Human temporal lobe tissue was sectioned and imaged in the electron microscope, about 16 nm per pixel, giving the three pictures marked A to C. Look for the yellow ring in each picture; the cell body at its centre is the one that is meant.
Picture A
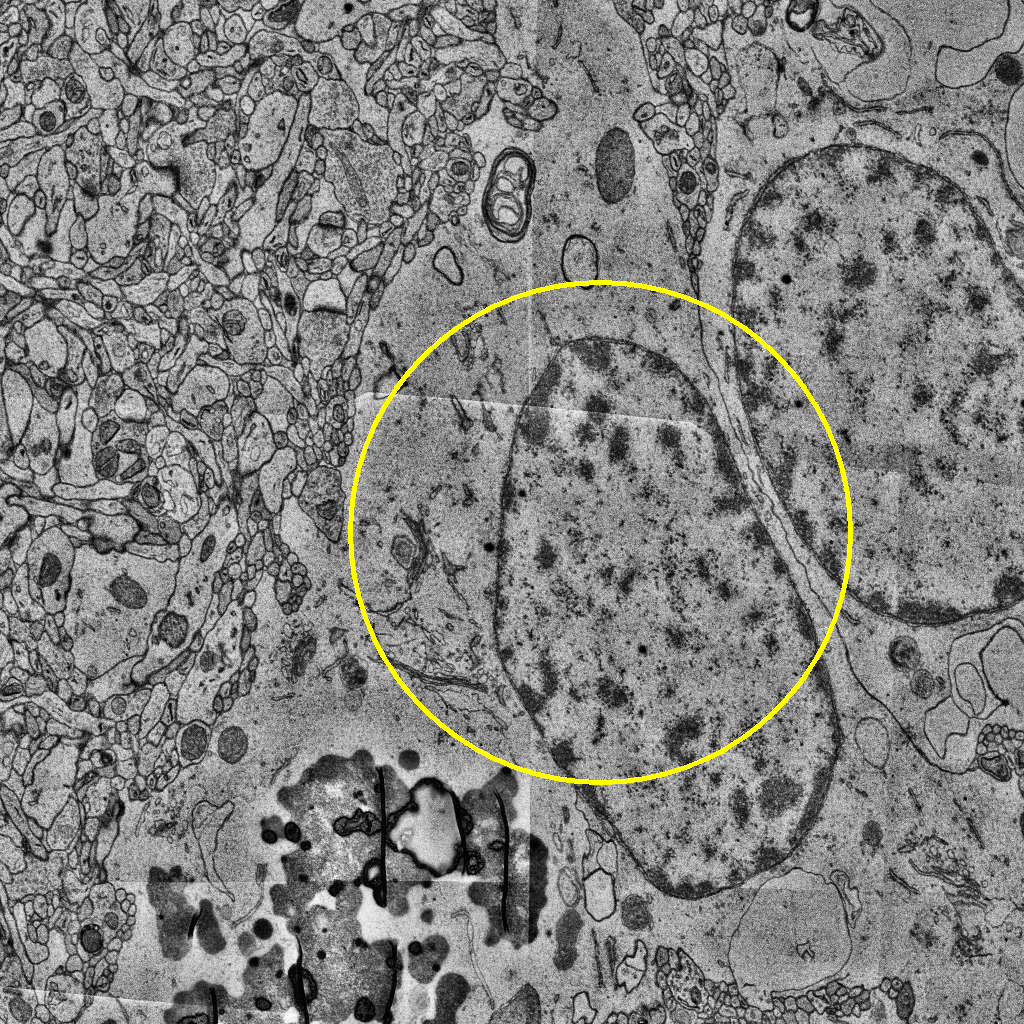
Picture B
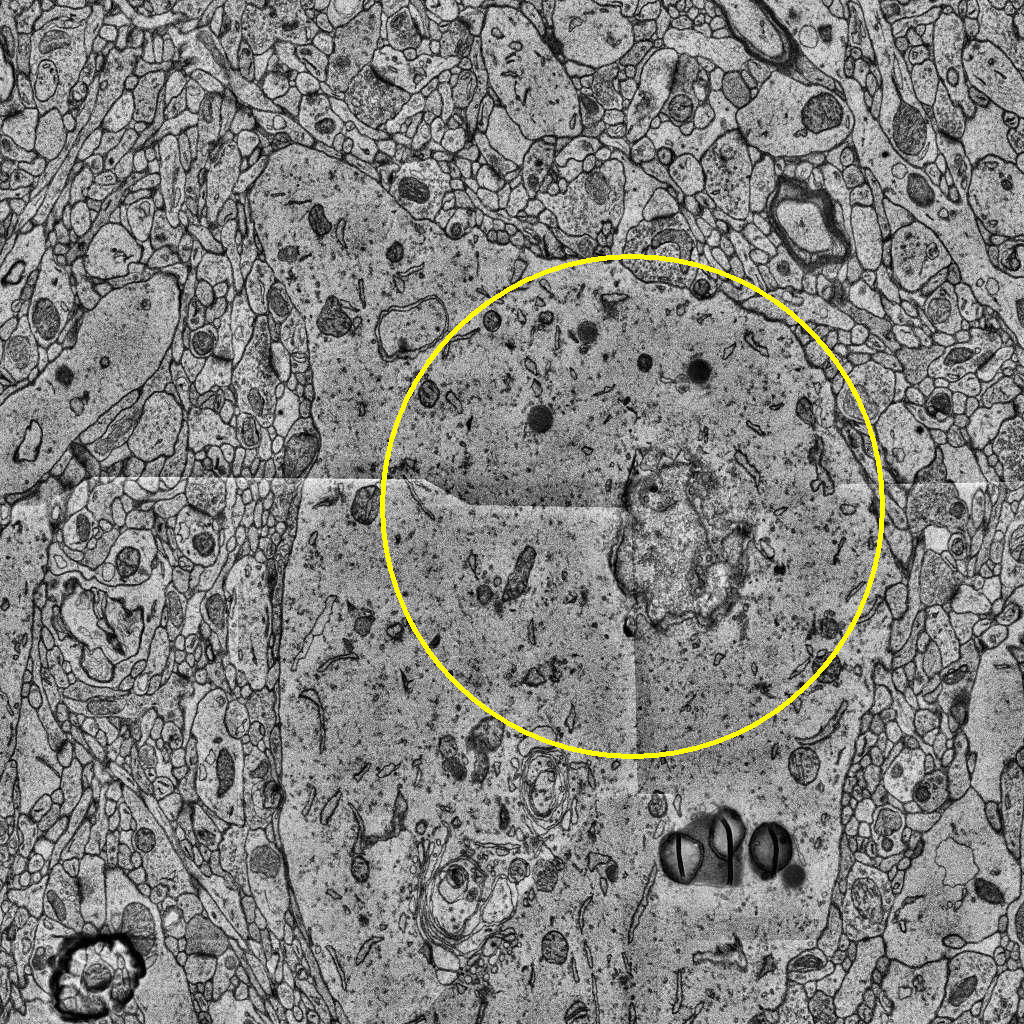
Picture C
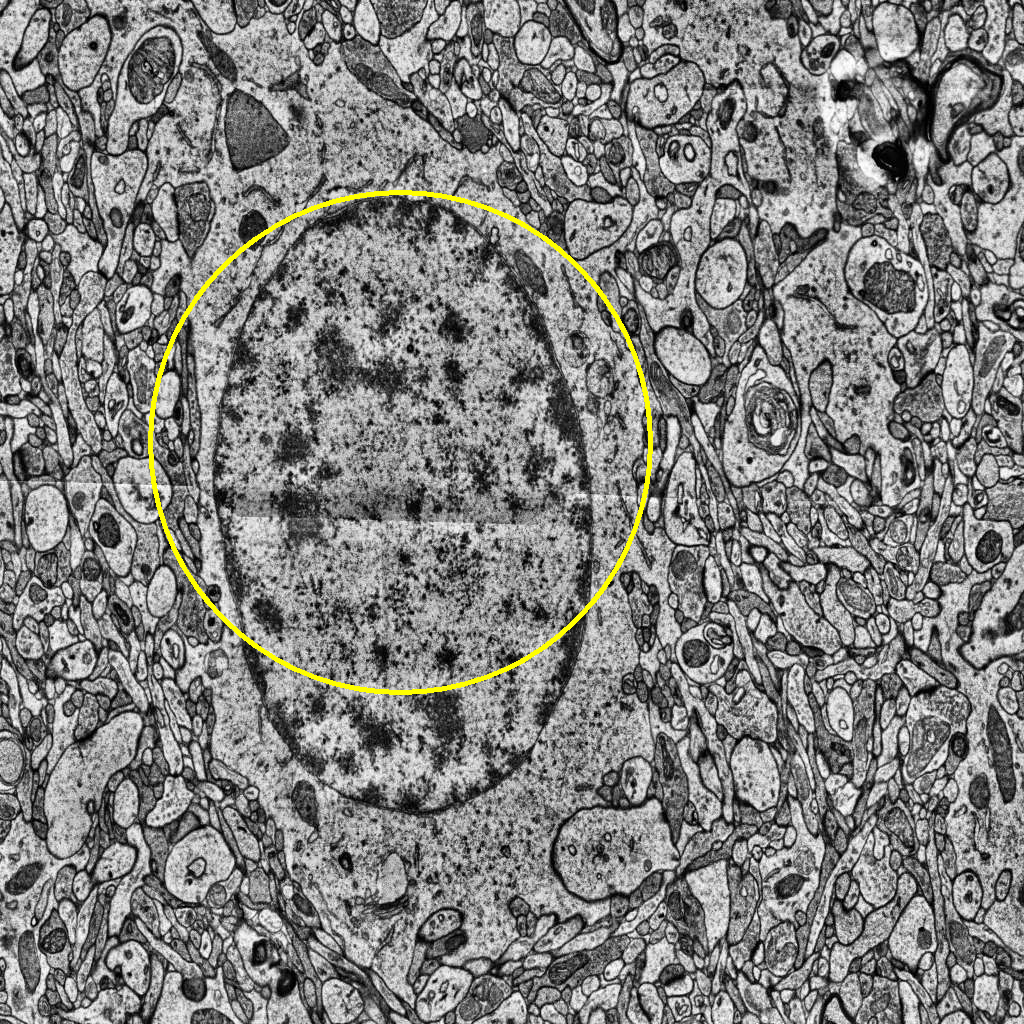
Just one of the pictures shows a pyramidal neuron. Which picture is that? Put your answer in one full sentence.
The picture with the pyramidal neuron is B.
